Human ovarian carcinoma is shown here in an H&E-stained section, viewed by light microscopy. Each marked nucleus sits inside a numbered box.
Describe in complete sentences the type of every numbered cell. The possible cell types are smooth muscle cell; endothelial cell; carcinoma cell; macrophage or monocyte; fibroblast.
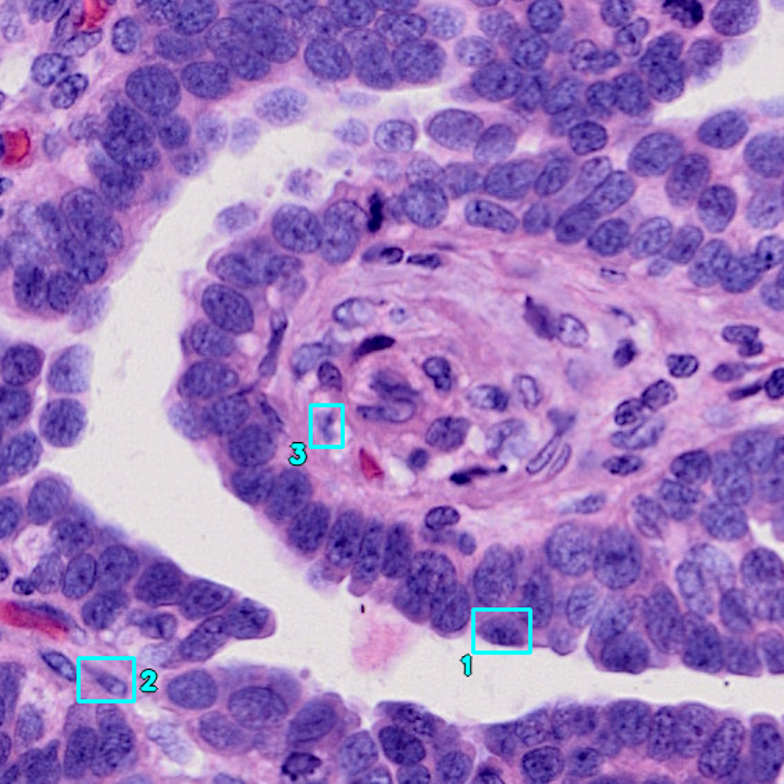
Cell 1 is a carcinoma cell. Cells 2 and 3 are fibroblasts.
